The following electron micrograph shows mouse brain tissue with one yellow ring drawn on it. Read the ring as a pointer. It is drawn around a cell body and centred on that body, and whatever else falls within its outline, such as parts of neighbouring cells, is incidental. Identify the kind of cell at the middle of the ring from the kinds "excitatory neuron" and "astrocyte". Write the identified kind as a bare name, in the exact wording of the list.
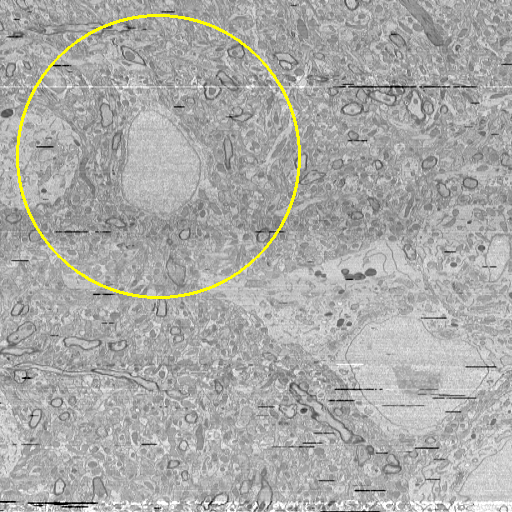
astrocyte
